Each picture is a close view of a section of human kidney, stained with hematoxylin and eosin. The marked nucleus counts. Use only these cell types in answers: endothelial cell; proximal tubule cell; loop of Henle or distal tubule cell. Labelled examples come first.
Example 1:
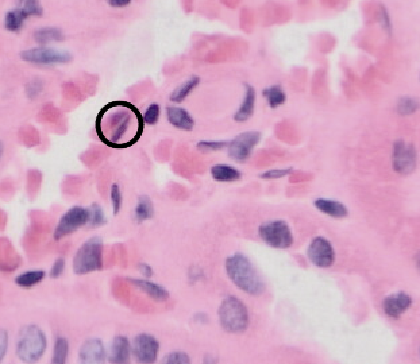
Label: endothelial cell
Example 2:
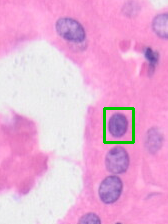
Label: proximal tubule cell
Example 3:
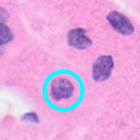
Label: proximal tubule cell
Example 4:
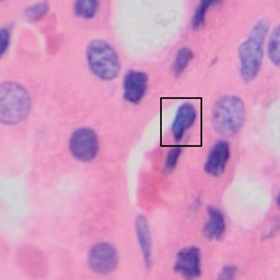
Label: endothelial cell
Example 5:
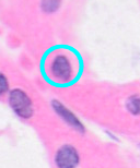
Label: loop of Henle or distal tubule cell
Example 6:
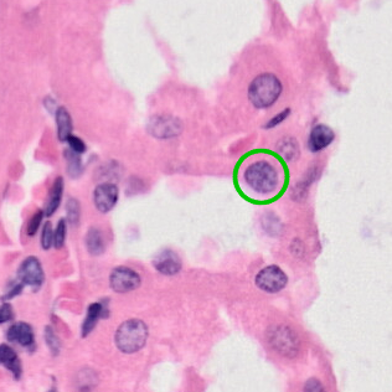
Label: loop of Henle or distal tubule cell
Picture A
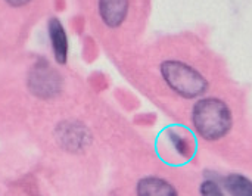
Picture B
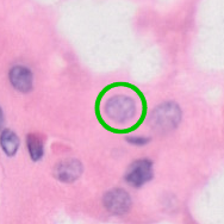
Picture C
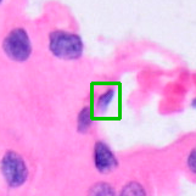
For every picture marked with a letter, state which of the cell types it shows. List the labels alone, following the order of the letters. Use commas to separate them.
endothelial cell, proximal tubule cell, endothelial cell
